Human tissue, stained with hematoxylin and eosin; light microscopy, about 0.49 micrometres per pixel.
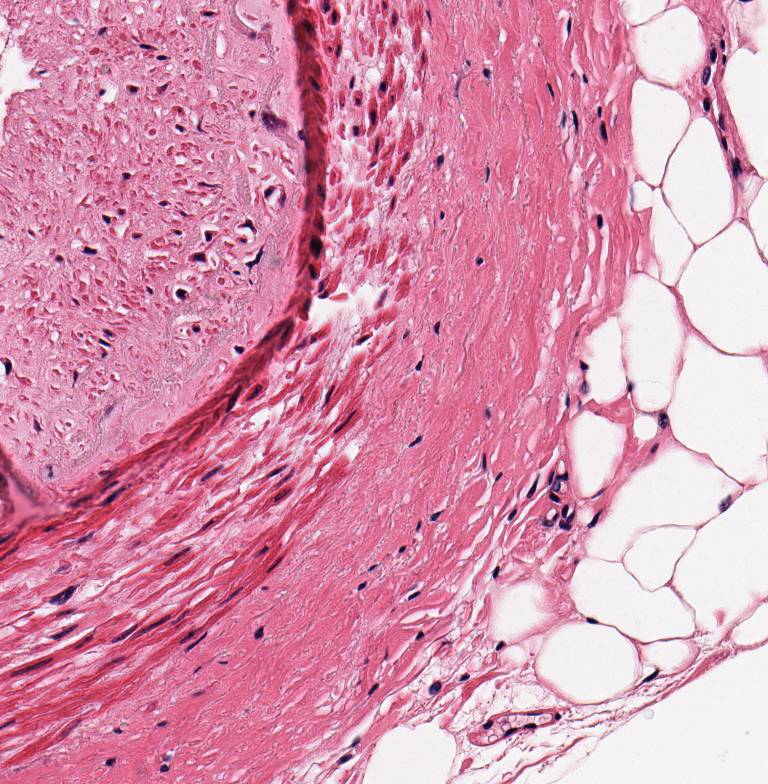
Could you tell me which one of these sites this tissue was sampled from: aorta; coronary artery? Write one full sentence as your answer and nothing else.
This tissue was harvested from the coronary artery.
